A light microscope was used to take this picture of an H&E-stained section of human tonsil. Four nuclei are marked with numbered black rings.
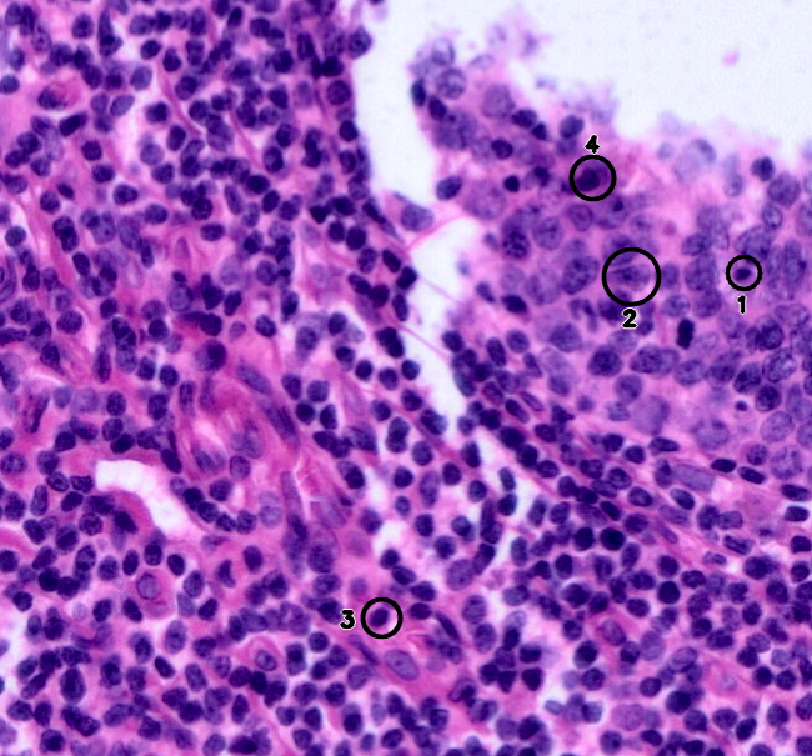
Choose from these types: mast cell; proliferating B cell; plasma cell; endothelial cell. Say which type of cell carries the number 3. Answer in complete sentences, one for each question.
Cell 3 is classified as an endothelial cell.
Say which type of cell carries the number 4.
The one numbered 4 among the marked cells is a proliferating B cell.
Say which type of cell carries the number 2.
In this section, number 2 marks a proliferating B cell.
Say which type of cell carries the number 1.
The cell marked with number 1 is a proliferating B cell.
